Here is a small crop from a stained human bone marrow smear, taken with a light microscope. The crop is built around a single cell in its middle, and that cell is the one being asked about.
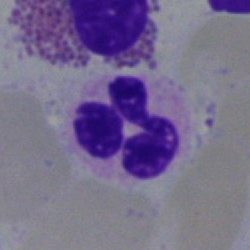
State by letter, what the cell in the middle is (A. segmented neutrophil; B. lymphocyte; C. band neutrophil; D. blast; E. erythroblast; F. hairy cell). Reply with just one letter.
A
